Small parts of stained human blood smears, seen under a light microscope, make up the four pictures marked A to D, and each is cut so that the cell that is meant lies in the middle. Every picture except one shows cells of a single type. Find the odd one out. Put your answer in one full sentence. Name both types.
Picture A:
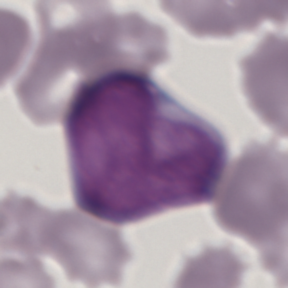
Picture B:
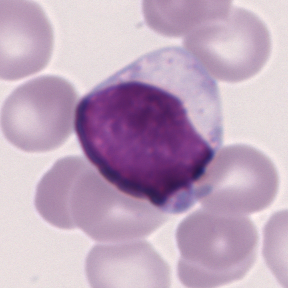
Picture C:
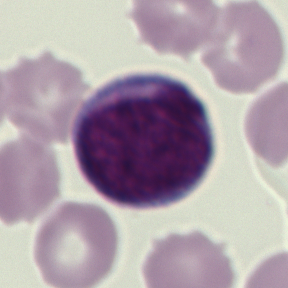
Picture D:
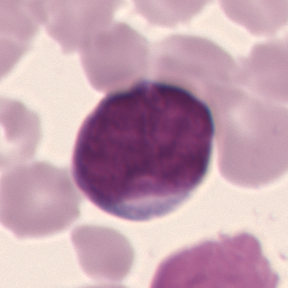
Unlike the rest, which show myeloblasts, picture B shows a large granular lymphocyte.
